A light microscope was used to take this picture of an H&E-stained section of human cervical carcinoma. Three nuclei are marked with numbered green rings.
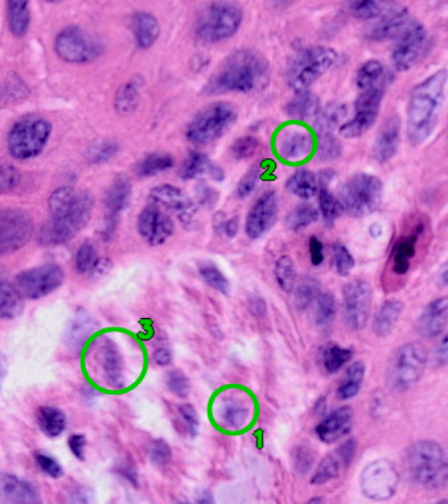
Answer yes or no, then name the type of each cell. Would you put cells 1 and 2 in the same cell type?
No, cell 1 is interpreted as a fibroblast, and cell 2 is interpreted as a squamous carcinoma cell.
